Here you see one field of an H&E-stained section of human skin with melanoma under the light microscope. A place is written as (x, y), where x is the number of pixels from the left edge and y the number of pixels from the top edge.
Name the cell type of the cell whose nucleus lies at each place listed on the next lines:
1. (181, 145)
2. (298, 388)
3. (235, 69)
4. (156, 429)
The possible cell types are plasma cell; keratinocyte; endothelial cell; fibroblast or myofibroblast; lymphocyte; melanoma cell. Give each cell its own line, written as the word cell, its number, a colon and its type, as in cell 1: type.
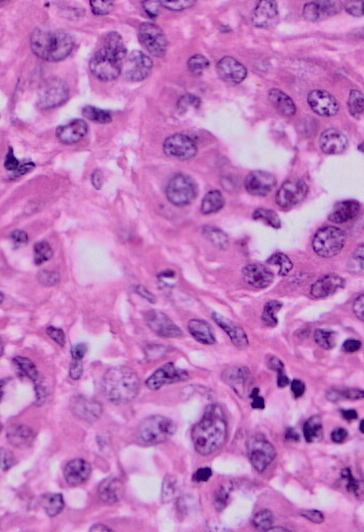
cell 1: melanoma cell
cell 2: lymphocyte
cell 3: melanoma cell
cell 4: melanoma cell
